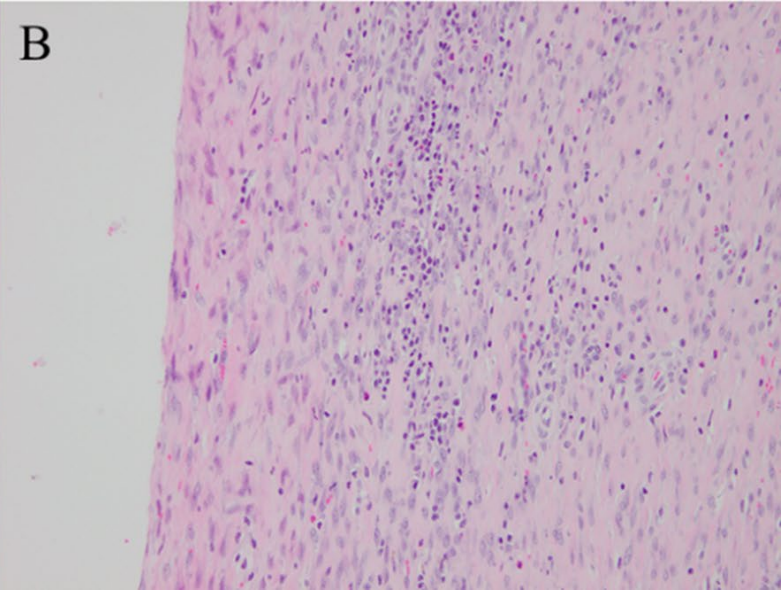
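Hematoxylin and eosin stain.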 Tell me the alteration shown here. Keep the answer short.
Fibroblast hyperplasia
